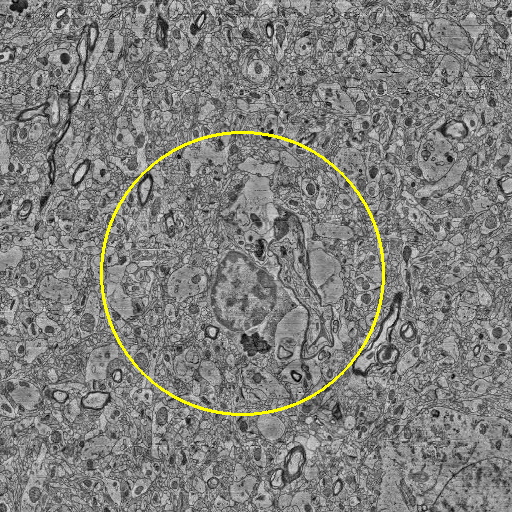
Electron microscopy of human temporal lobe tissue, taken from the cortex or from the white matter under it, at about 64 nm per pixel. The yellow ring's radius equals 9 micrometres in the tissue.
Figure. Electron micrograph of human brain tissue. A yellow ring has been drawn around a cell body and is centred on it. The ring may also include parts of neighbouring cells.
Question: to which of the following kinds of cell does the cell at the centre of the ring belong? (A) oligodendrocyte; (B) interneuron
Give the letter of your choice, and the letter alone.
A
